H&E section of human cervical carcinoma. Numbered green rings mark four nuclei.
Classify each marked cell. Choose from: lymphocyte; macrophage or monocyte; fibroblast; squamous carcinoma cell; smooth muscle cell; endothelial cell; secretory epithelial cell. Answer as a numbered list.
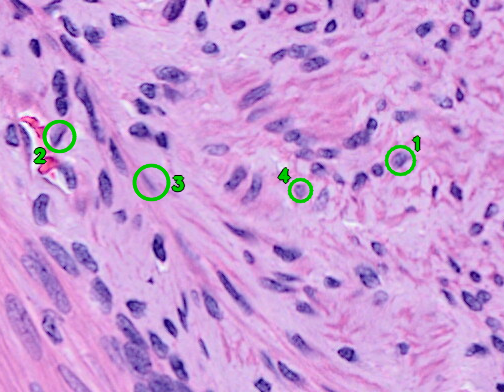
1. smooth muscle cell
2. endothelial cell
3. smooth muscle cell
4. smooth muscle cell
